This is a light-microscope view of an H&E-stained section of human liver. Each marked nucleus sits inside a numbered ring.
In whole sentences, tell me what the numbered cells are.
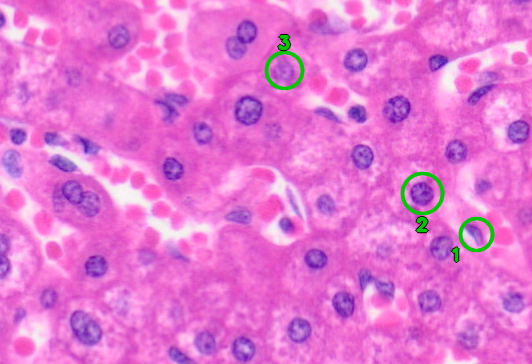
Cell 1 is a Kupffer cell, cell 2 is a hepatocyte and cell 3 is a hepatocyte.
